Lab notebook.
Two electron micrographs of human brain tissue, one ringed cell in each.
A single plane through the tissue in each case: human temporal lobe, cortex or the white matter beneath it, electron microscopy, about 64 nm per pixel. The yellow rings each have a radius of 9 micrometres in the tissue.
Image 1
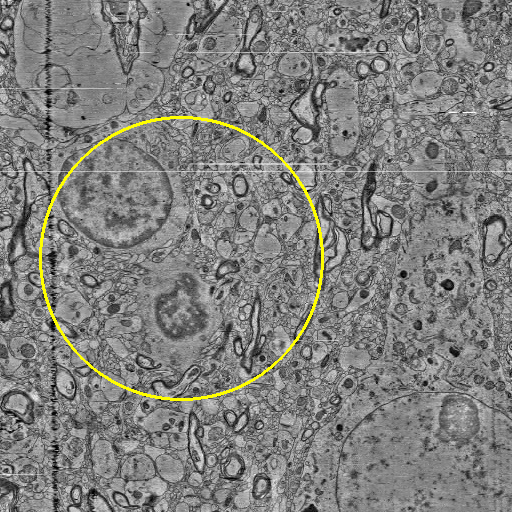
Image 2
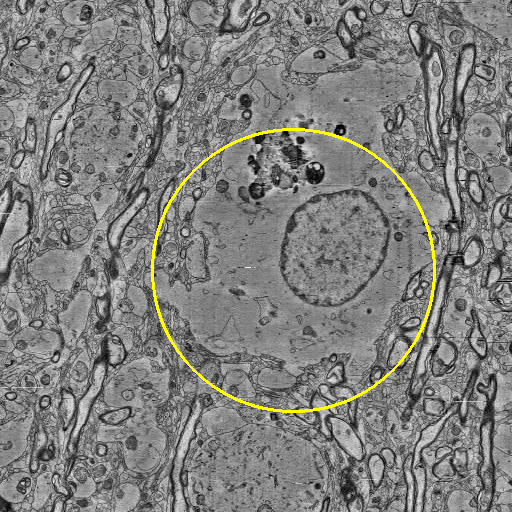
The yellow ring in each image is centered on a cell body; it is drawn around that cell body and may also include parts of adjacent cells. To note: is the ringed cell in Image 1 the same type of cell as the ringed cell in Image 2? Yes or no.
no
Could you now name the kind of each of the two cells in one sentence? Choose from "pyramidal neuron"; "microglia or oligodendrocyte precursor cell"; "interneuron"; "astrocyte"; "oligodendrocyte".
The first ring encloses an oligodendrocyte; the second ring encloses an astrocyte.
